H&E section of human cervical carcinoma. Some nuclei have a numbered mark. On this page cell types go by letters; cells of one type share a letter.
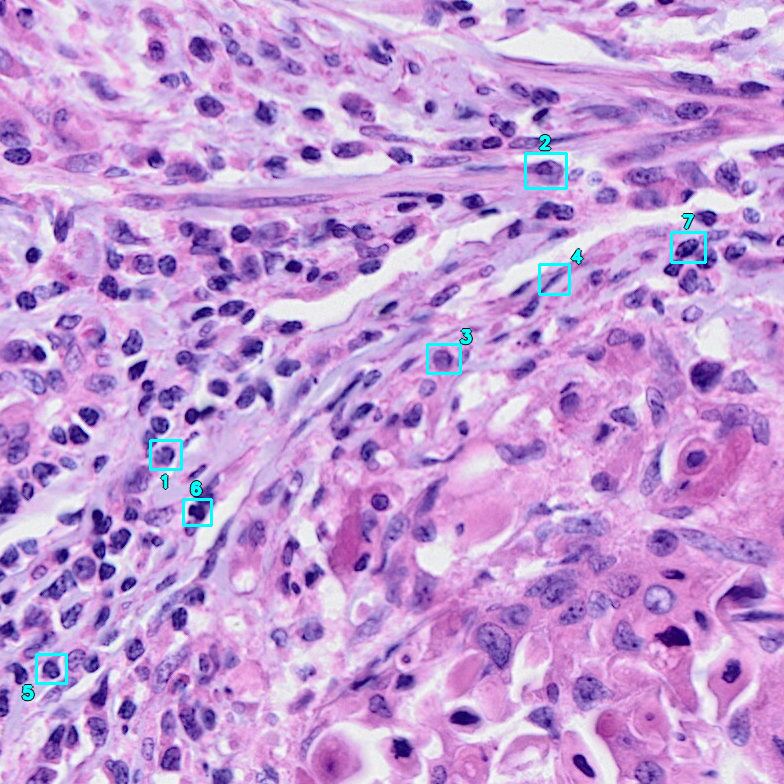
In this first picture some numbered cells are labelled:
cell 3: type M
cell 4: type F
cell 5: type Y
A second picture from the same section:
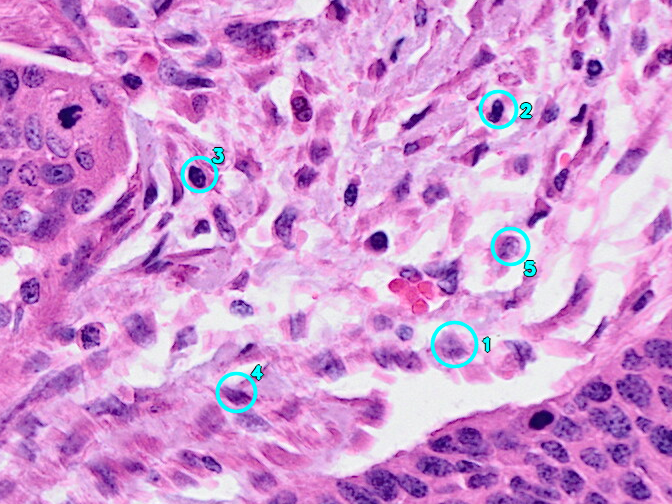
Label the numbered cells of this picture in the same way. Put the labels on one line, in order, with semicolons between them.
type F; type Y; type Y; type F; type M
